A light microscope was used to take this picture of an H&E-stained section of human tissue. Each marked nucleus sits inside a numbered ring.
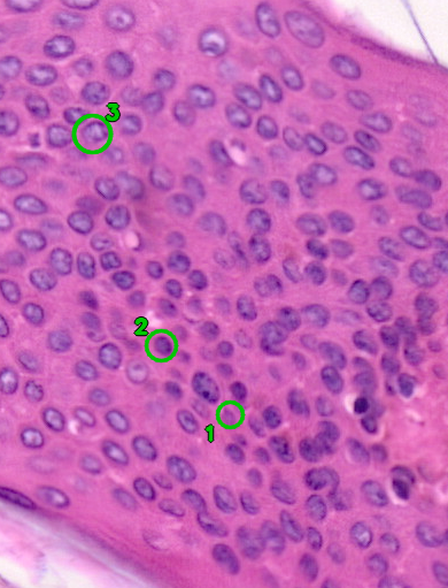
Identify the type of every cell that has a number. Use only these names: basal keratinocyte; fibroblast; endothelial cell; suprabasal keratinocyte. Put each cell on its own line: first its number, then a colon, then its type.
1: basal keratinocyte
2: basal keratinocyte
3: suprabasal keratinocyte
